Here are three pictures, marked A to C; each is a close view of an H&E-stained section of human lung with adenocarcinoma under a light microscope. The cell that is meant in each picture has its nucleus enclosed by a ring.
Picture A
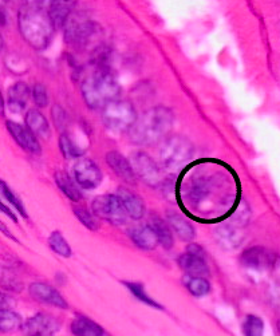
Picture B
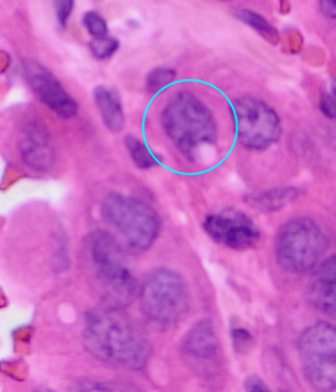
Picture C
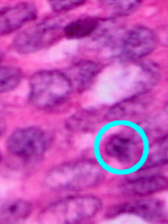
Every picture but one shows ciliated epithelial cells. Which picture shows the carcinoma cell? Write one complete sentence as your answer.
The carcinoma cell is the one in picture B.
